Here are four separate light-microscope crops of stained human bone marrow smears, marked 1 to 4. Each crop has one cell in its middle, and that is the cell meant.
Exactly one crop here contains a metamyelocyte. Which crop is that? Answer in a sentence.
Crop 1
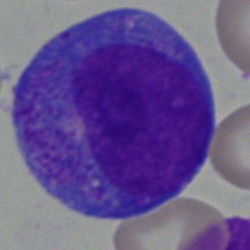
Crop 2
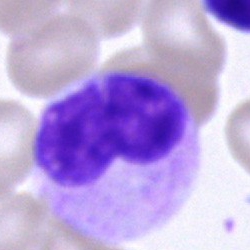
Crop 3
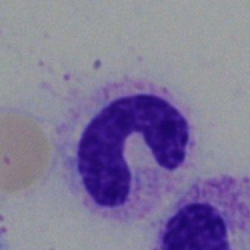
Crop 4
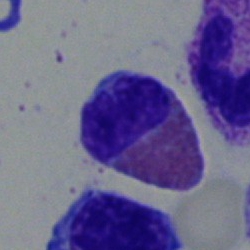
The crop in which a metamyelocyte is shown is crop 2.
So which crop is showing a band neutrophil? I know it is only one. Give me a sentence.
The requested cell, a band neutrophil, is the one in crop 3.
